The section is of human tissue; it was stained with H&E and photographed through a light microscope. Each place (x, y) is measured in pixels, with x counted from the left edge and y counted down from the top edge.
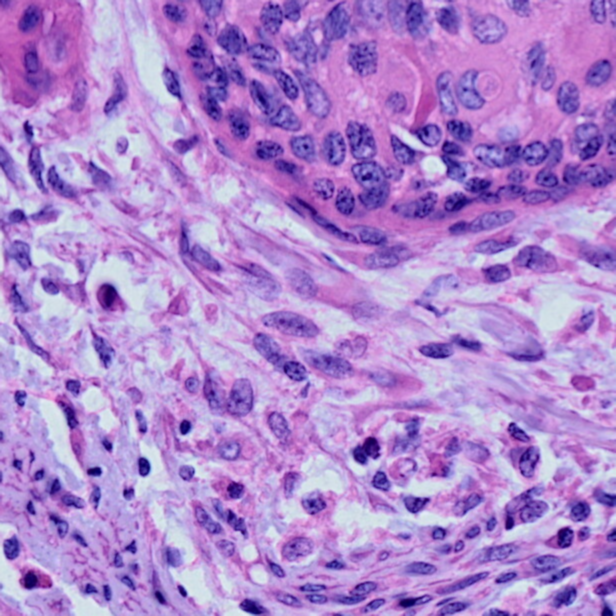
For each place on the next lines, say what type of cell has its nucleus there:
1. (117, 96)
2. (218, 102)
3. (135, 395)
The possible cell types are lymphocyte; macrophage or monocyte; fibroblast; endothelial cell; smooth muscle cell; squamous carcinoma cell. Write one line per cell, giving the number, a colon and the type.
1: fibroblast
2: squamous carcinoma cell
3: fibroblast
